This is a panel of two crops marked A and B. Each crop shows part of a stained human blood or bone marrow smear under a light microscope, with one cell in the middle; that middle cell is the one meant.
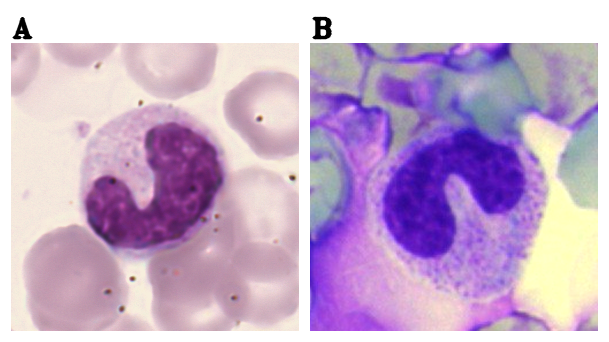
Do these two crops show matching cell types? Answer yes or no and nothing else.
yes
